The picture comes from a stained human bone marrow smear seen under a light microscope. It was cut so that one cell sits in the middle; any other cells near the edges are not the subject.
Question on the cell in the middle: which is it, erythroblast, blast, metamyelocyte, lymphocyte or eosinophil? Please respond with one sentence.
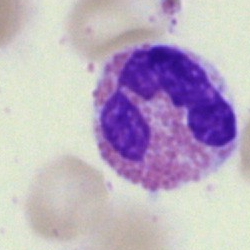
In short, the cell at the center is an eosinophil.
